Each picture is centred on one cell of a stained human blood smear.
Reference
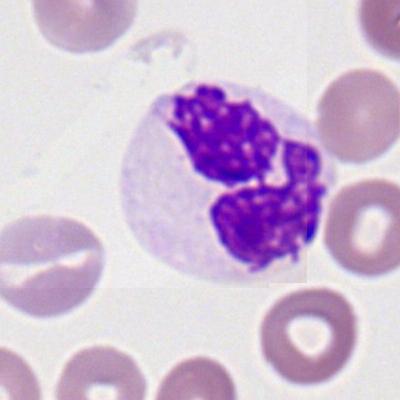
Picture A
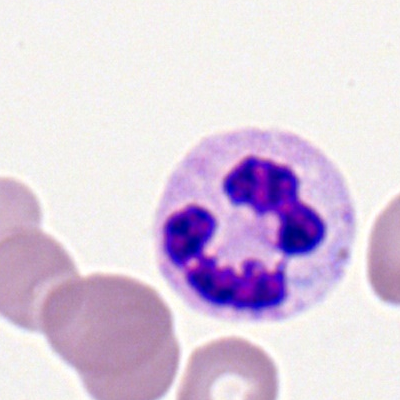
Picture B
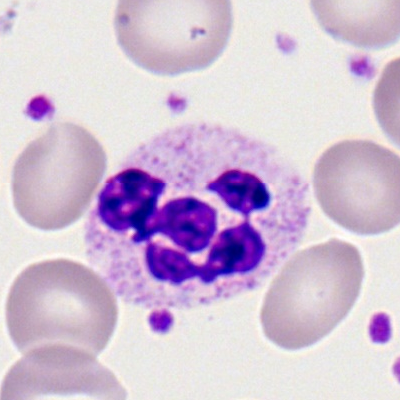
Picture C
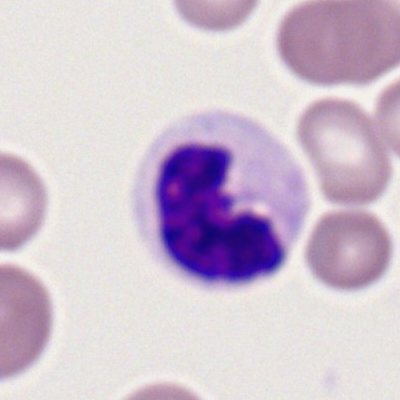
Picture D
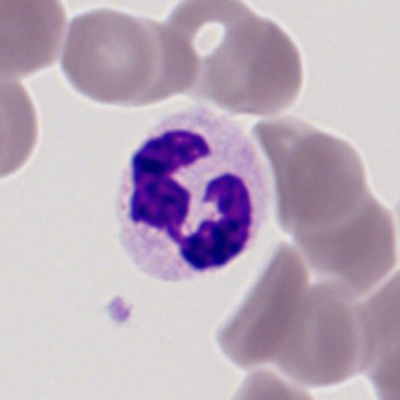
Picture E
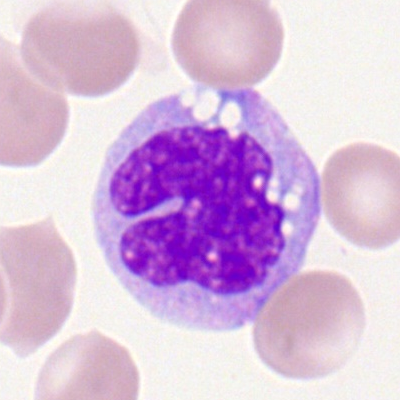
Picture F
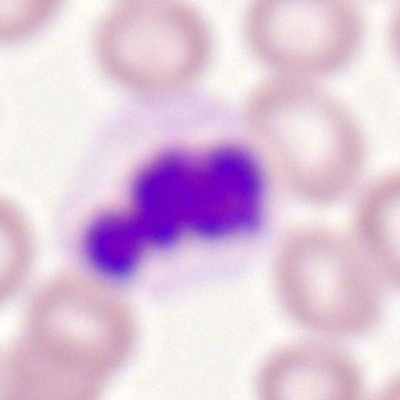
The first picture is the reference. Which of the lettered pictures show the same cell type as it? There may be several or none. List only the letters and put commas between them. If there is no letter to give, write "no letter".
A, B, C, D, F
